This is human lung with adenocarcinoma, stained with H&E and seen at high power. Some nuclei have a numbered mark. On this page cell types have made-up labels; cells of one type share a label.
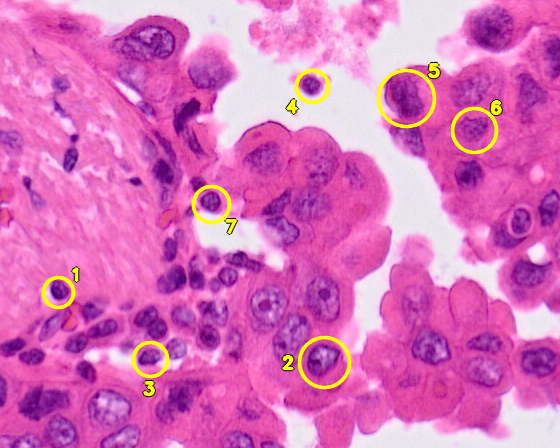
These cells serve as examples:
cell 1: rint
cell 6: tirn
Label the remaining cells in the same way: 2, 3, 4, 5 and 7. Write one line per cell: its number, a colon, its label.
2: tirn
3: rint
4: rint
5: tirn
7: rint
